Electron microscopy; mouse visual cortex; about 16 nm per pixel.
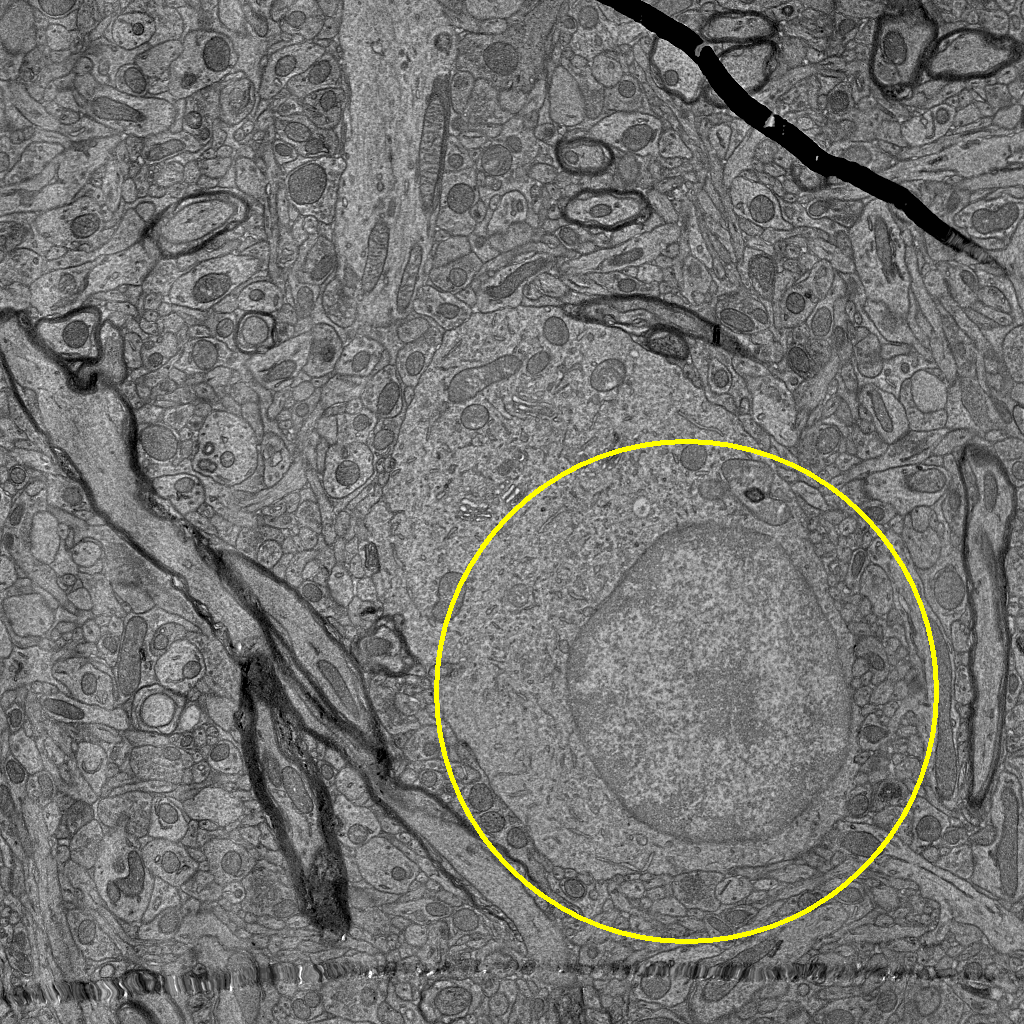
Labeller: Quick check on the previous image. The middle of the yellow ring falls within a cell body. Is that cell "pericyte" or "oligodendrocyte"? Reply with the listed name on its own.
oligodendrocyte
